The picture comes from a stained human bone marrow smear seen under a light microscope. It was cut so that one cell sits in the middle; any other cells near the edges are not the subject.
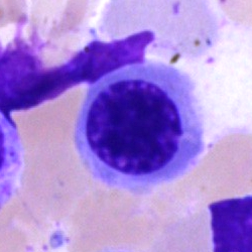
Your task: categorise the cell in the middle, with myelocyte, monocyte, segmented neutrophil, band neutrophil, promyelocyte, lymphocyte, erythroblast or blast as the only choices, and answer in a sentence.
As for the cell in the middle, it is an erythroblast.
